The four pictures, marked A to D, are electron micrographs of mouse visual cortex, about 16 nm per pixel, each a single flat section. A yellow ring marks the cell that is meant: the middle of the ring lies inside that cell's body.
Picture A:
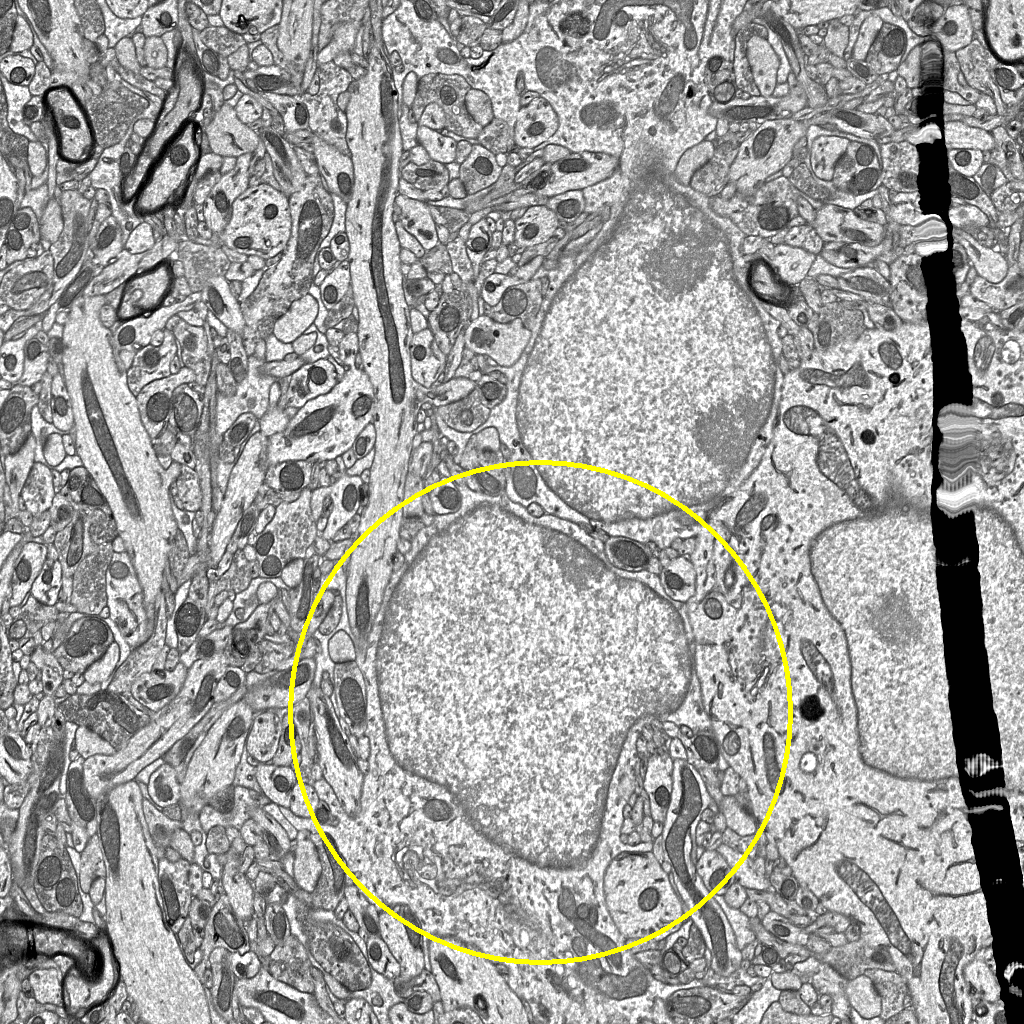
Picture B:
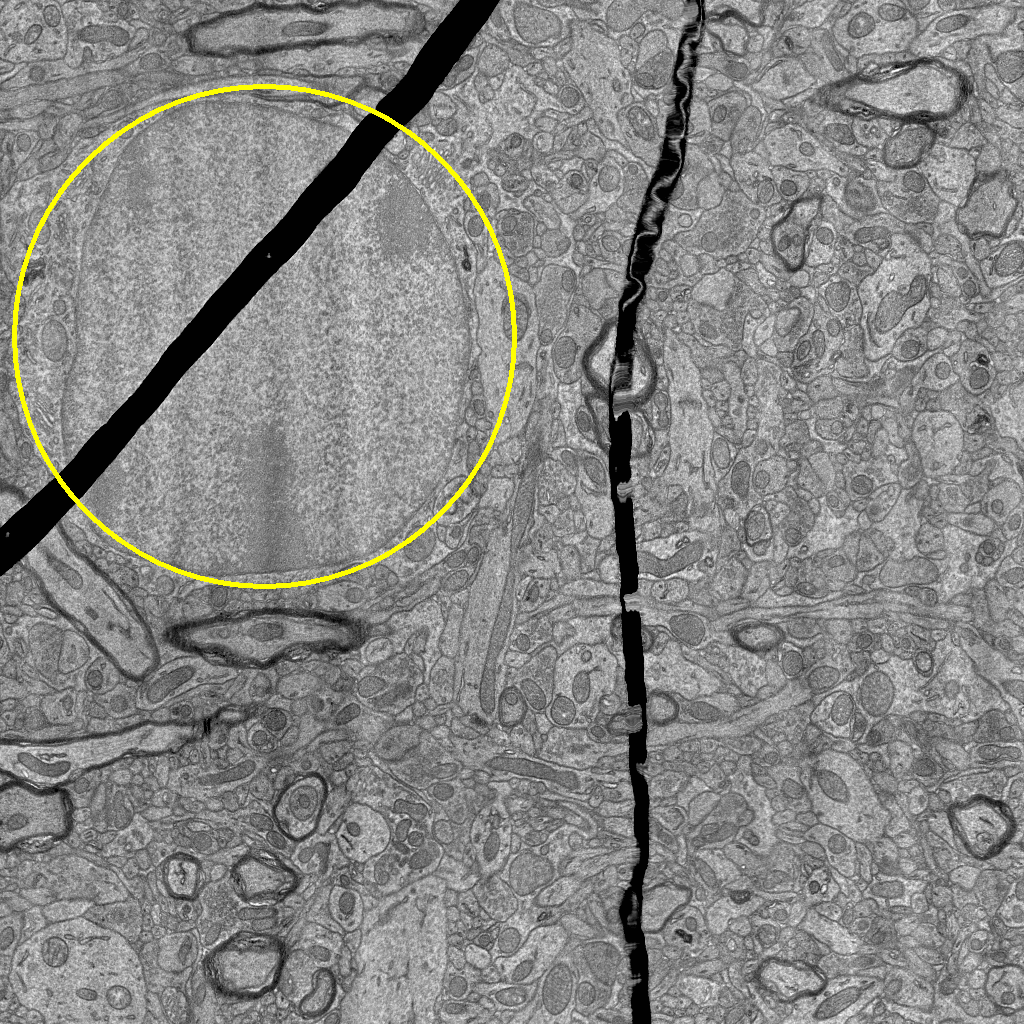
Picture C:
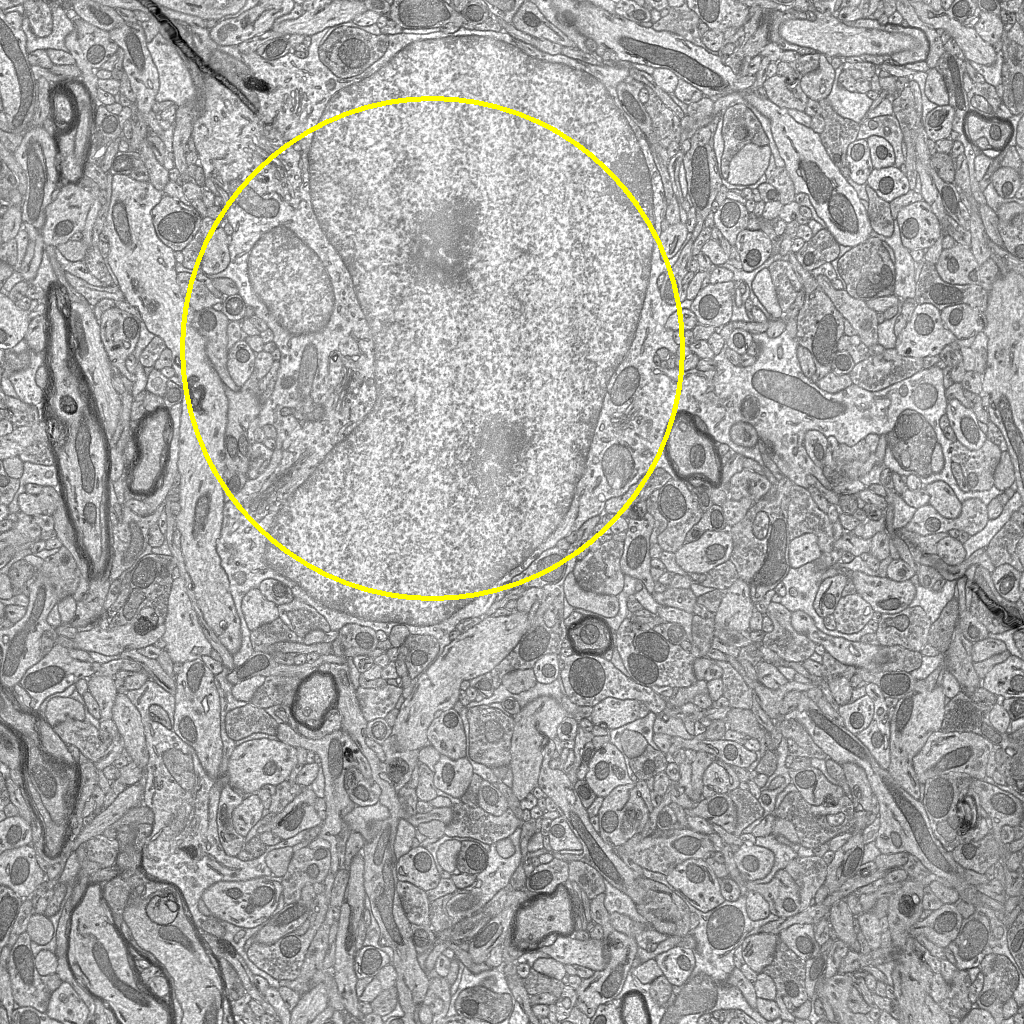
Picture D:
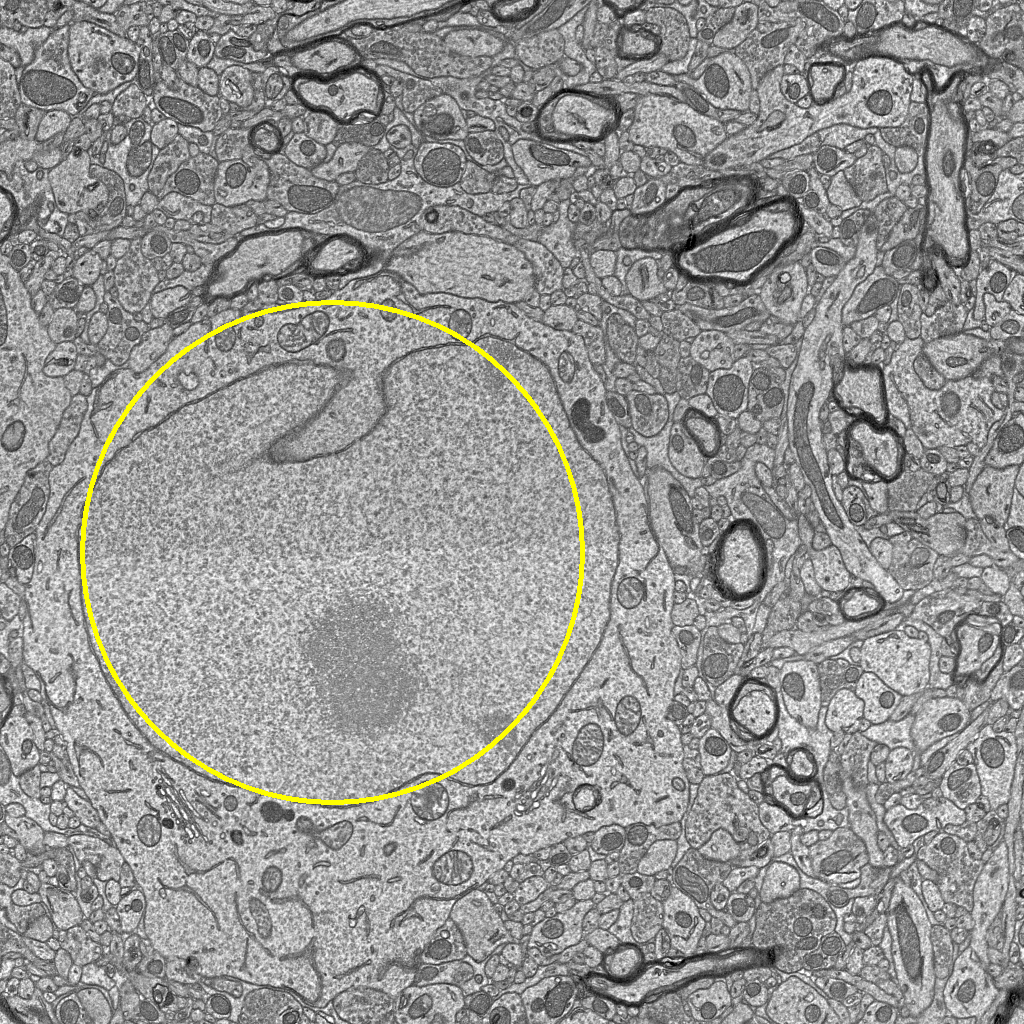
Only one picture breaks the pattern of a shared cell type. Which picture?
Picture D is the odd one out: it shows an excitatory neuron, while the others show astrocytes.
